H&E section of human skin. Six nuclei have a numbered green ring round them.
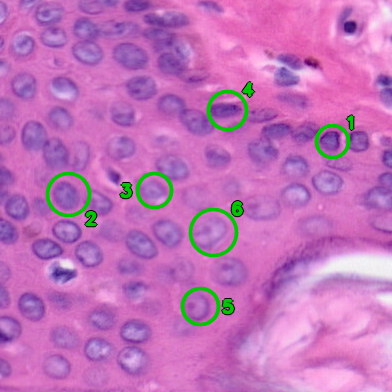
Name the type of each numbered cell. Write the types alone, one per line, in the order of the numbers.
basal keratinocyte
suprabasal keratinocyte
suprabasal keratinocyte
basal keratinocyte
suprabasal keratinocyte
suprabasal keratinocyte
